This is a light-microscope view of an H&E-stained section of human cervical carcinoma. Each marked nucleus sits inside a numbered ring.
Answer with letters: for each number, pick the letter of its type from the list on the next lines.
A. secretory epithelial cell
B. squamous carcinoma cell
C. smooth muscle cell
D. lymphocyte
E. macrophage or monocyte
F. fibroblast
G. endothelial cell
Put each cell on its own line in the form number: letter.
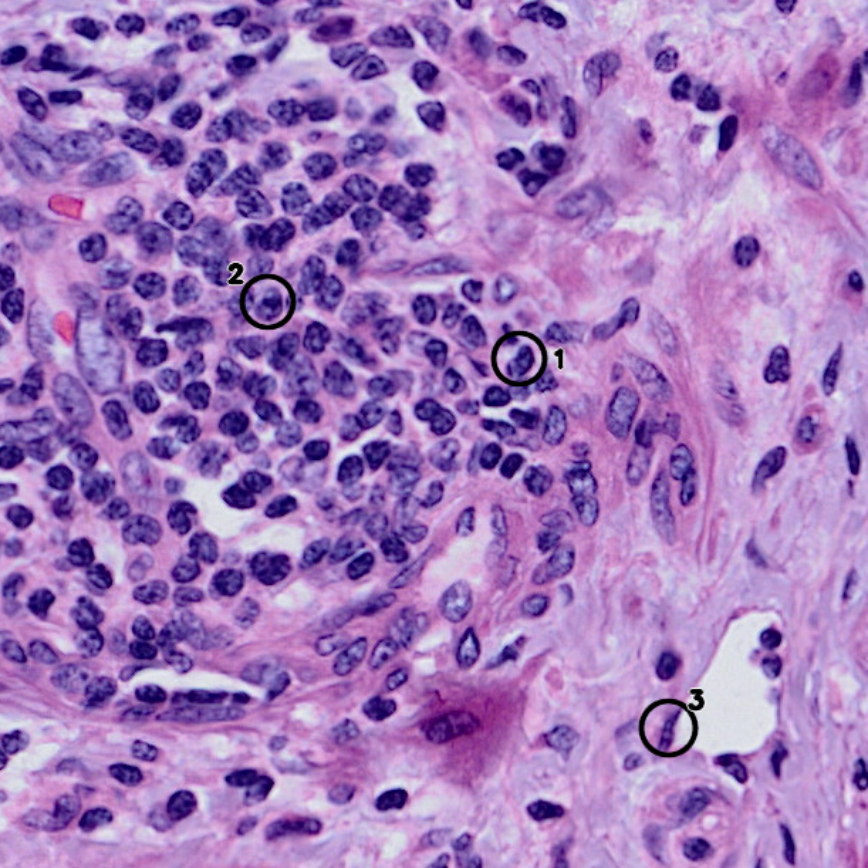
1: D
2: D
3: G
